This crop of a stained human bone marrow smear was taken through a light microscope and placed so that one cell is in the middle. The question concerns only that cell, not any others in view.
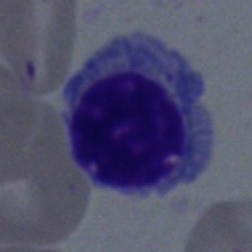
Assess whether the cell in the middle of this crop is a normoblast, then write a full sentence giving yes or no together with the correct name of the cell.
Yes, the cell lying in the centre of the crop is identified as a normoblast.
